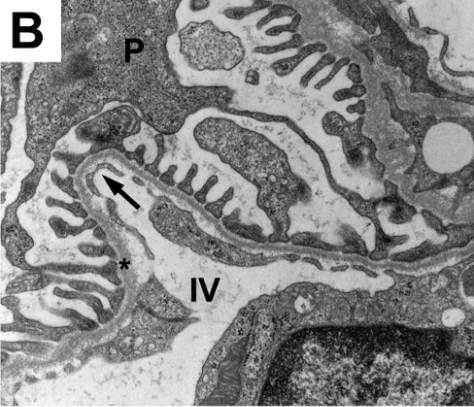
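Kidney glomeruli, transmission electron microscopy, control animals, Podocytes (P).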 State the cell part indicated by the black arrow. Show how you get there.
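The arrow points to the thin cytoplasmic layer lining the capillary side of the basement membrane. This lining layer is very attenuated and interrupted. That points to this answer: fenestration.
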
